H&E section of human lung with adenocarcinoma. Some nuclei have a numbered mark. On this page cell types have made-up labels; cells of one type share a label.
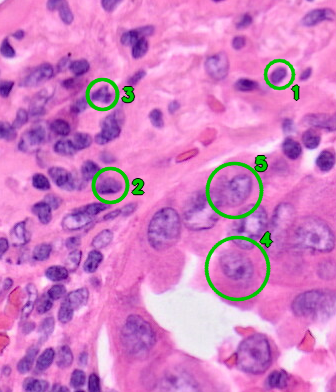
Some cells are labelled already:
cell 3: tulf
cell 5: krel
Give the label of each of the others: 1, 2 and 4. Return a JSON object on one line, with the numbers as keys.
{"1": "tulf", "2": "tulf", "4": "krel"}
